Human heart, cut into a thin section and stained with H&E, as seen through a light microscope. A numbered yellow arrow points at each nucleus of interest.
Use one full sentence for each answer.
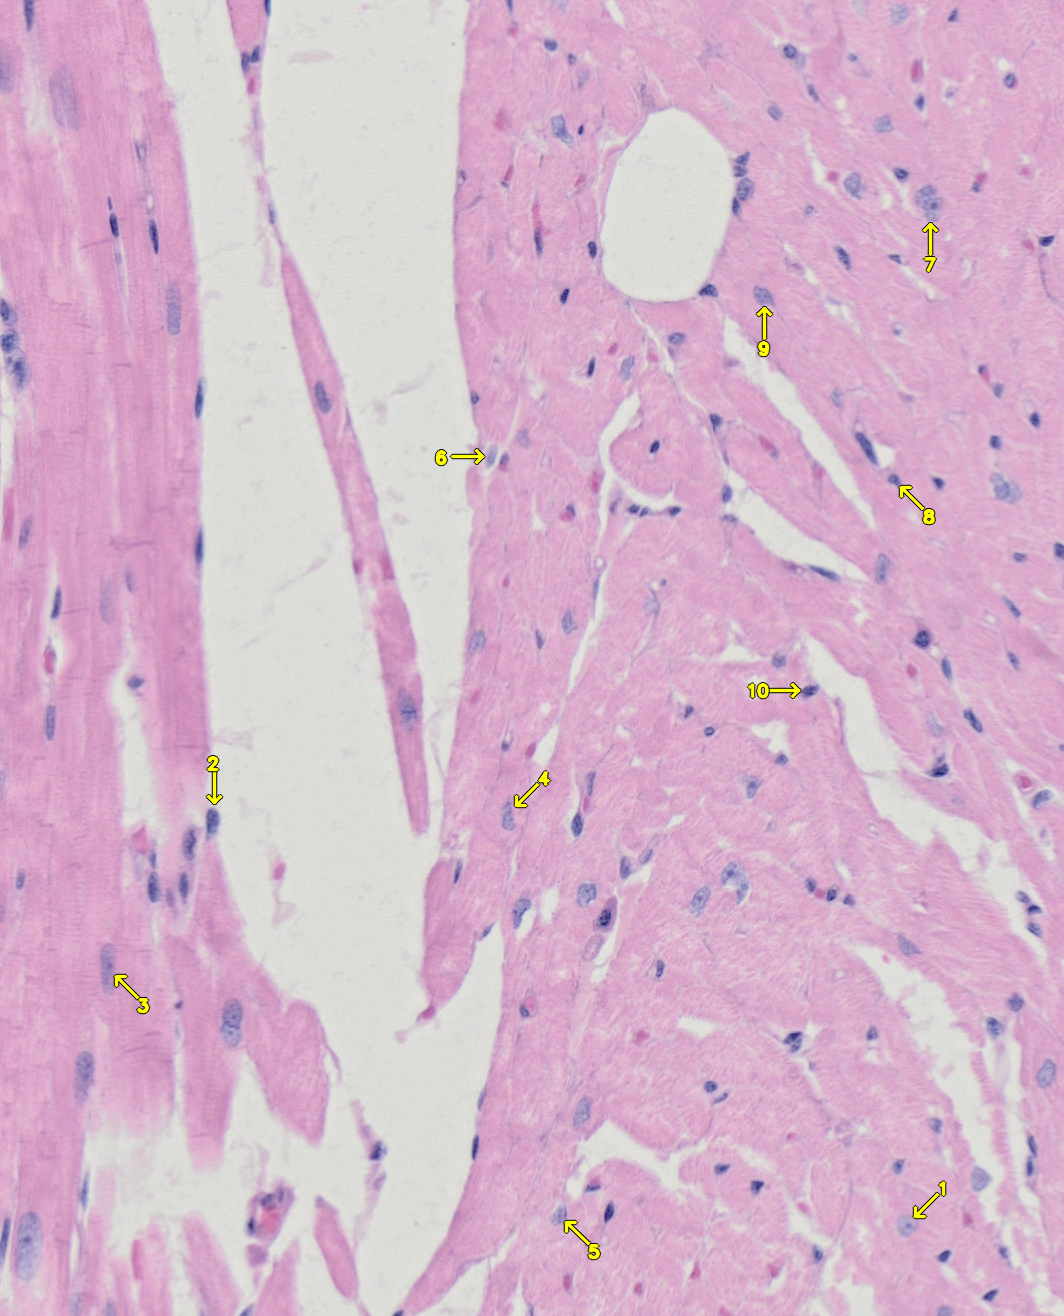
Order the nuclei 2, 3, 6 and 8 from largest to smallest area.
From largest to smallest, the order is 3, 2, 6, 8.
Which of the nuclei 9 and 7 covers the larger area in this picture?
Of the two, number 7 is bigger and takes up about 2 times the area of number 9.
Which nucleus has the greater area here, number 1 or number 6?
The larger nucleus is 1, at roughly 1.5 times the area of 6.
